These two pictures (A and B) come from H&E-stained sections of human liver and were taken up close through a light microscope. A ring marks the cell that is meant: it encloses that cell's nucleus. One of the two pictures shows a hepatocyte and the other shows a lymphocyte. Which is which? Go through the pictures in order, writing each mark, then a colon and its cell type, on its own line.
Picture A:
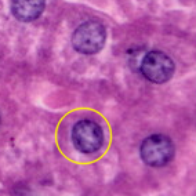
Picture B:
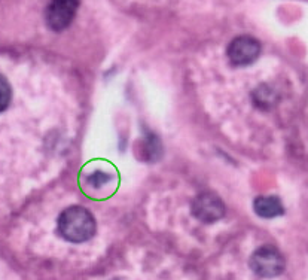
A: hepatocyte
B: lymphocyte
